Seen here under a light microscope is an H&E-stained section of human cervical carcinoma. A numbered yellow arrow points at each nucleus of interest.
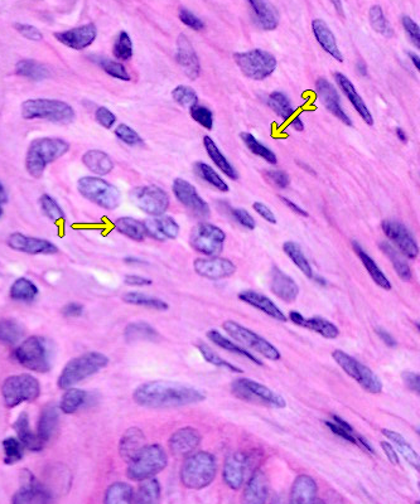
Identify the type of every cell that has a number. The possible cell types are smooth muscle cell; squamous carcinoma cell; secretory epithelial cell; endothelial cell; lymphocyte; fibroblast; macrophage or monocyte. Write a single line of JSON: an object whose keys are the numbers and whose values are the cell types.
{"1": "endothelial cell", "2": "fibroblast"}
